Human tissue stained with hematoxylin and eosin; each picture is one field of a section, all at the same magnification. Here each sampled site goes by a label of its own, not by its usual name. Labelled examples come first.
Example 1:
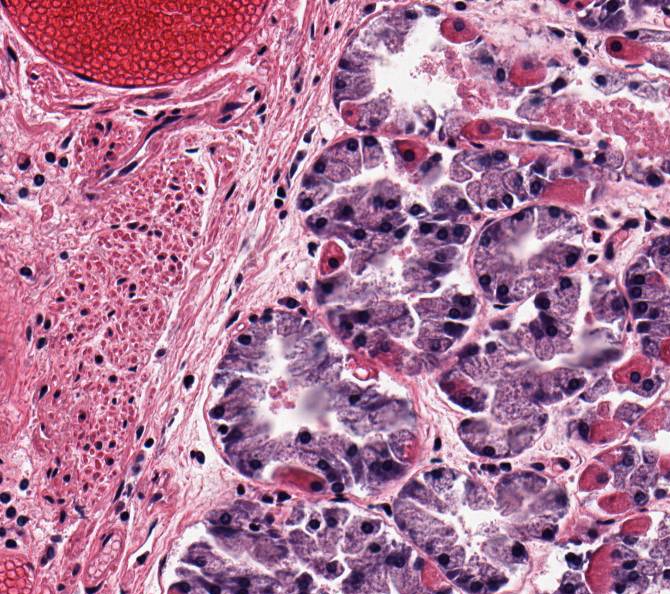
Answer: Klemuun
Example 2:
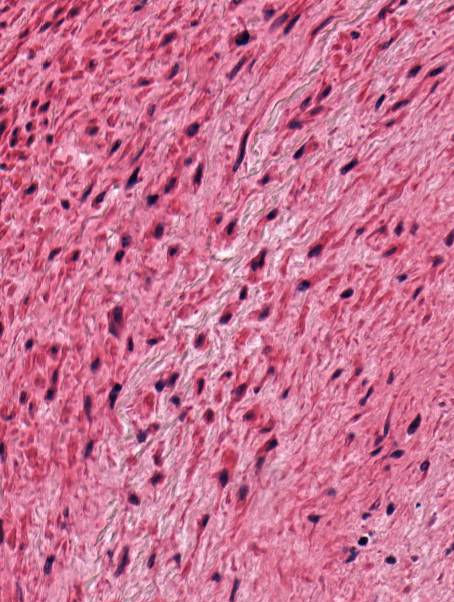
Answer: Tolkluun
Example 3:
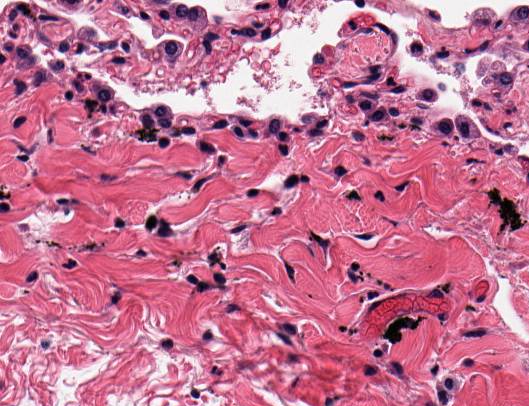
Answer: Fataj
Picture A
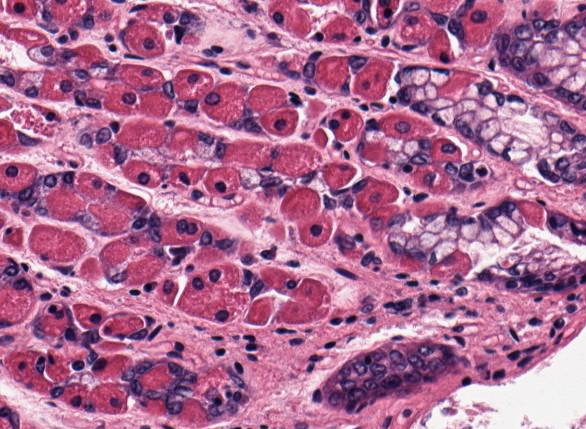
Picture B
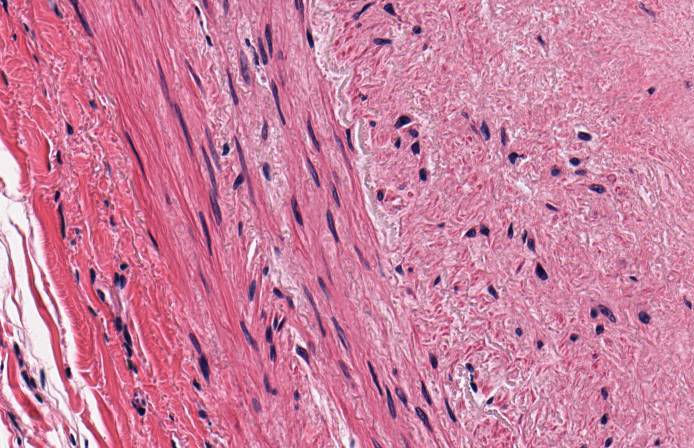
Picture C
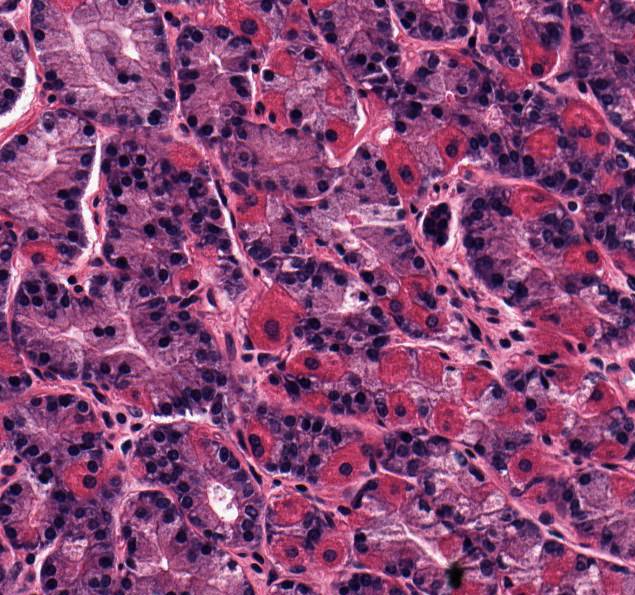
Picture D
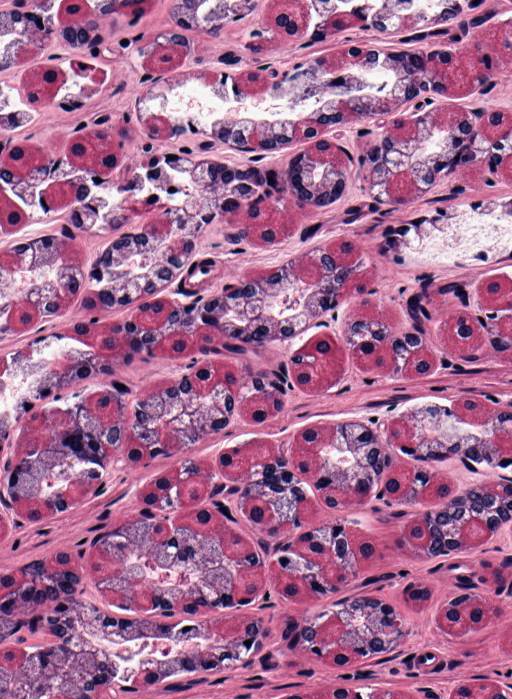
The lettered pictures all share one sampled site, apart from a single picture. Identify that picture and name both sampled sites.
Picture B: Tolkluun. All others: Klemuun.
